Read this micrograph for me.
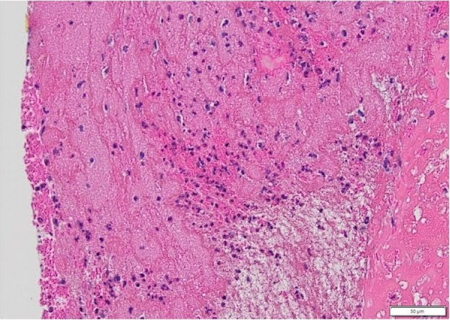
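The cells gather most densely in a diagonal band through the middle of the field, while paler, finely vacuolated pale pink material lies to the left and a loose, pale, frothy zone lies below. No organized tissue architecture is present, only the layered deposited material with embedded leukocytes.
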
